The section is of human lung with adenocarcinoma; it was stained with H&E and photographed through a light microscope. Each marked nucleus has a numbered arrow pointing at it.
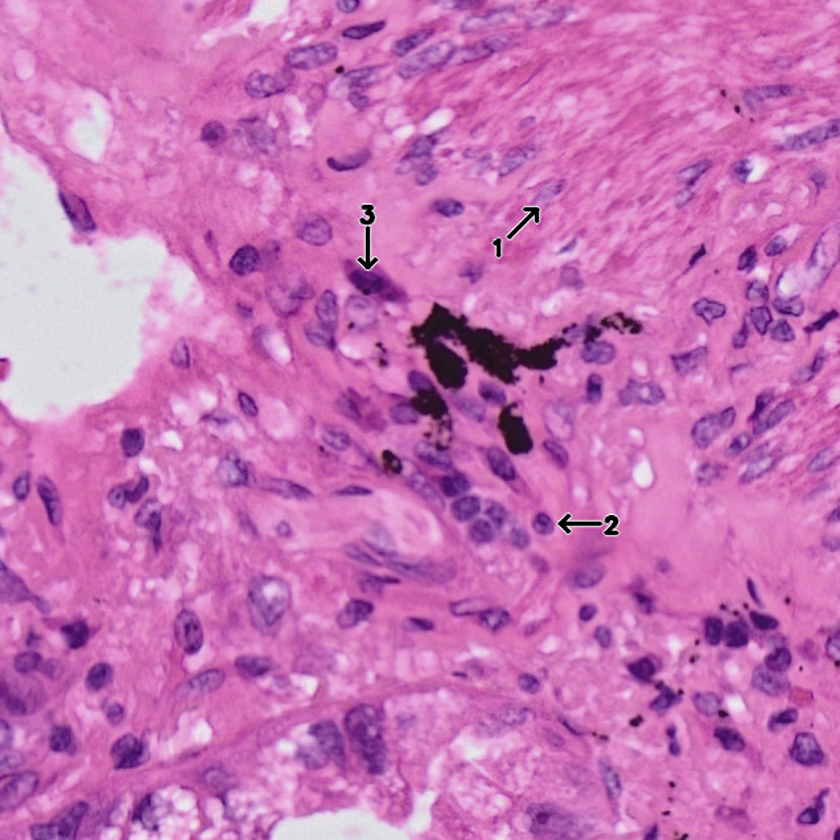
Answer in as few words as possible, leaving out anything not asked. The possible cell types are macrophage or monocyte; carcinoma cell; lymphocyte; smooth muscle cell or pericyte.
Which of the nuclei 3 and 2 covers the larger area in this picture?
3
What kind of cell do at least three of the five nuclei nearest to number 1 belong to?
smooth muscle cell or pericyte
